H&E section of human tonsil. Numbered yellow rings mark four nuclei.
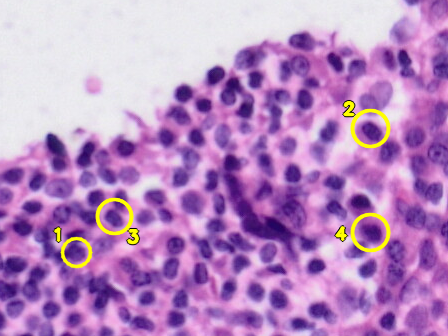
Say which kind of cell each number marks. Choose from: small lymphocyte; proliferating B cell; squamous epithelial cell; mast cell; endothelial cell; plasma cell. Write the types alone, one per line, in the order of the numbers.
small lymphocyte
plasma cell
small lymphocyte
plasma cell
